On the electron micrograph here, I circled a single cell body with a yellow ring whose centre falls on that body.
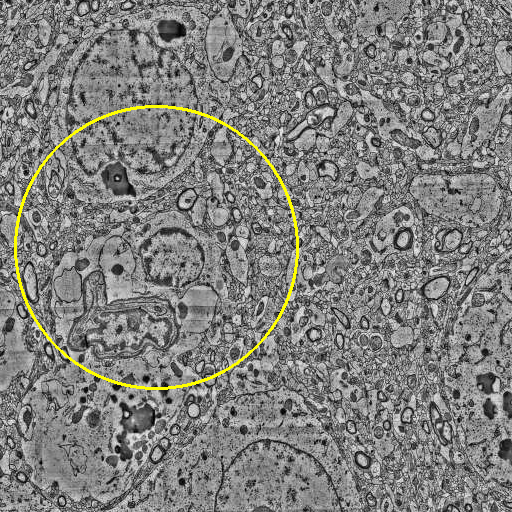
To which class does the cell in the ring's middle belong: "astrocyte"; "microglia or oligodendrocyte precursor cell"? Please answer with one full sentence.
In this picture, the cell body circled at the ring's centre belongs to a microglial cell or oligodendrocyte precursor cell.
